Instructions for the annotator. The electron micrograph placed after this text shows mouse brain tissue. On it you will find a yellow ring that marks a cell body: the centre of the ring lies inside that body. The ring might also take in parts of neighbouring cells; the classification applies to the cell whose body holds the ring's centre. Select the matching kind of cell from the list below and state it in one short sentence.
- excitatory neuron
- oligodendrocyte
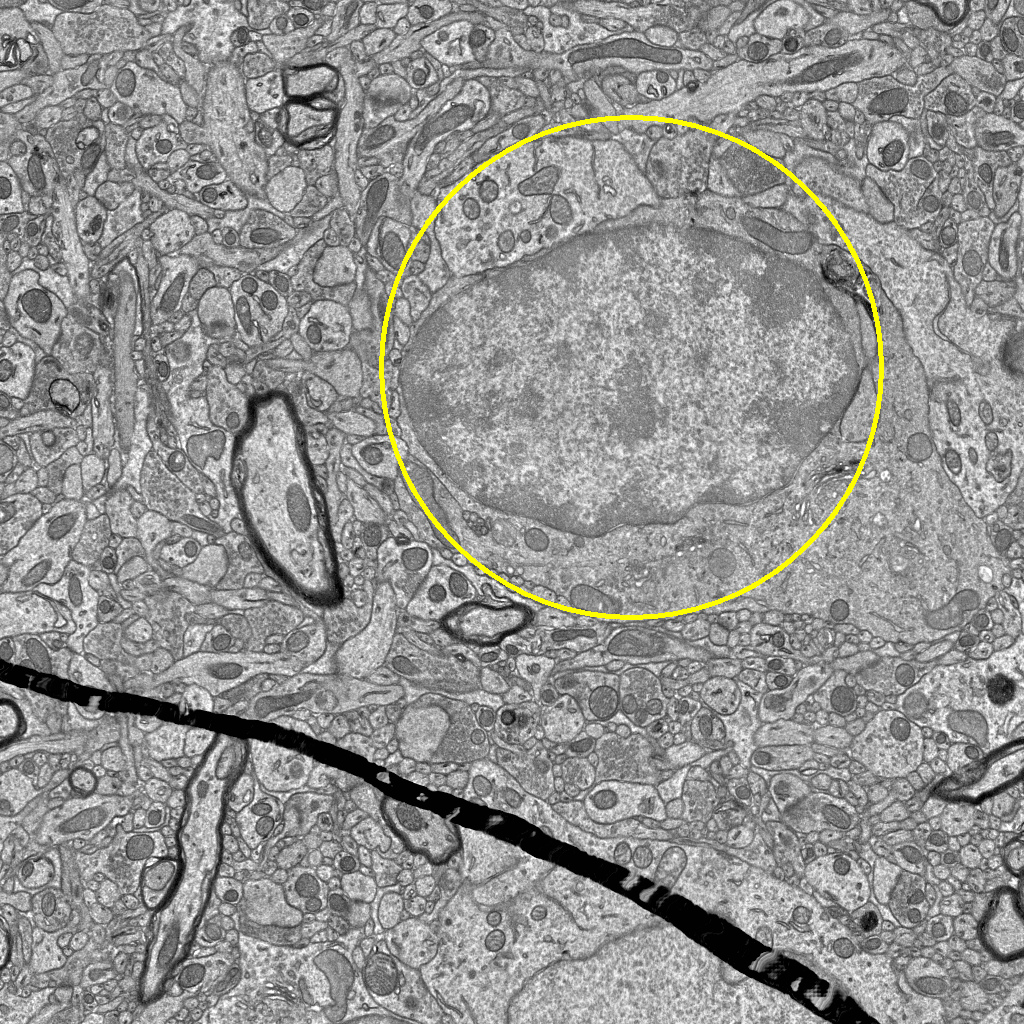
The centre of the ring lies in the cell body of an oligodendrocyte.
